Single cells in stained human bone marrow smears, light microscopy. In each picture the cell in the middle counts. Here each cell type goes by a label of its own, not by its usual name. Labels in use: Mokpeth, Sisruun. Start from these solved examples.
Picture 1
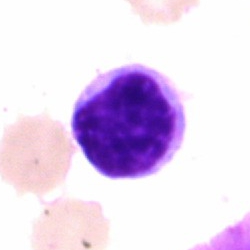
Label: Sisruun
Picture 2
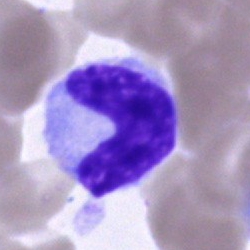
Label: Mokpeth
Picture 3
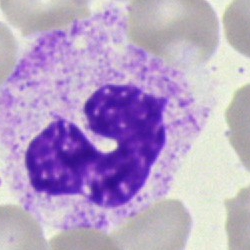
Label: Mokpeth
